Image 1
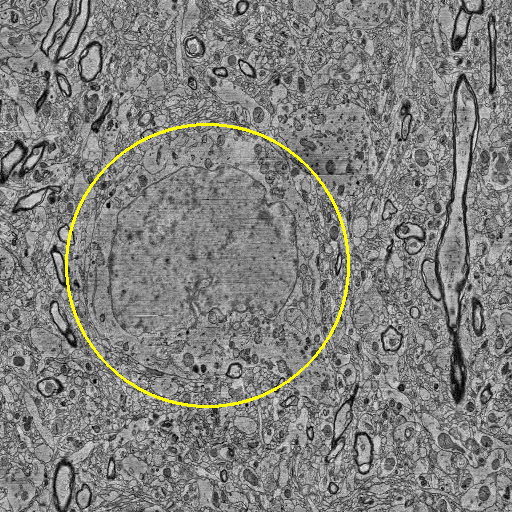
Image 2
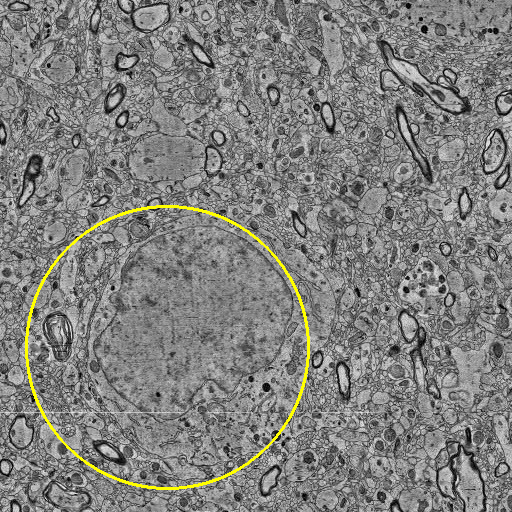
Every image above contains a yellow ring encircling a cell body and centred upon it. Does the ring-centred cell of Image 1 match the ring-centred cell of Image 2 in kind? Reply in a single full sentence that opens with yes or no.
Yes, the cell at the ring's centre in Image 1 is the same kind as that in Image 2.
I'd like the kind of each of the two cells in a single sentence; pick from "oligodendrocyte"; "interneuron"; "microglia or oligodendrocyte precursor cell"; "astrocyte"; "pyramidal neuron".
Each of the two cells is an interneuron.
